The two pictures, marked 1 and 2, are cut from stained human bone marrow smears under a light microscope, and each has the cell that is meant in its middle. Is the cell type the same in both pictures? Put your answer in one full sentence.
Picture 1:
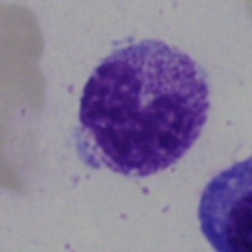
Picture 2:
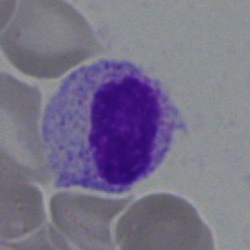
Yes, both cells are metamyelocytes.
